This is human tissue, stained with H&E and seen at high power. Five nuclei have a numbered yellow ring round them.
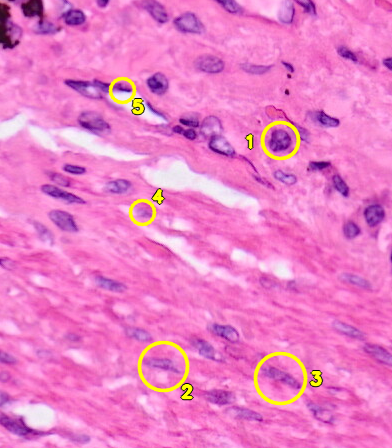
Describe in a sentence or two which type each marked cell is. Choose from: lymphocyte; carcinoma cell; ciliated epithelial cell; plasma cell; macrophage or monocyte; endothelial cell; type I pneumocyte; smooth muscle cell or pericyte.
Cell 1 is a plasma cell, cell 2 is a smooth muscle cell or pericyte, cell 3 is a smooth muscle cell or pericyte, cell 4 is a smooth muscle cell or pericyte and cell 5 is an endothelial cell.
